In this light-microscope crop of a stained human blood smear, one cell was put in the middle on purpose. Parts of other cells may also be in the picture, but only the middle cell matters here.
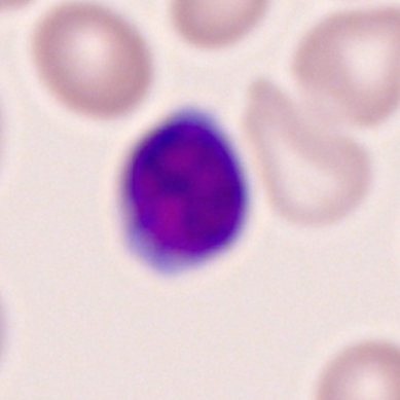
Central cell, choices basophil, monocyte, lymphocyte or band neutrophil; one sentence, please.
As for the central cell, it is a lymphocyte.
